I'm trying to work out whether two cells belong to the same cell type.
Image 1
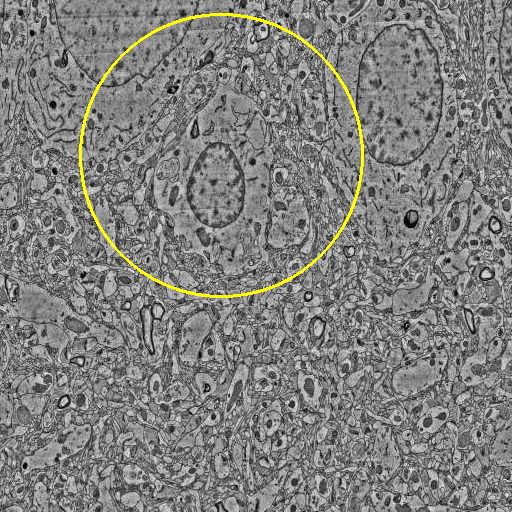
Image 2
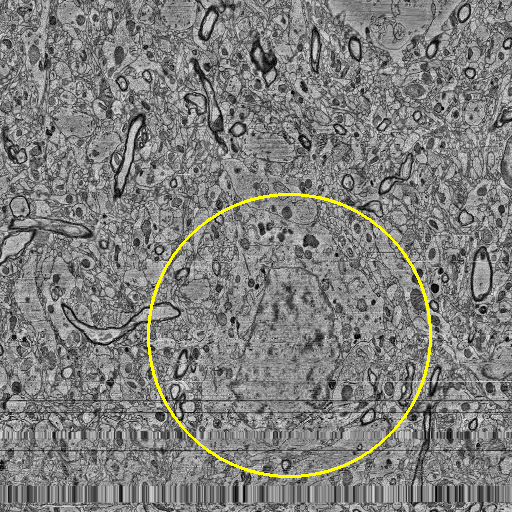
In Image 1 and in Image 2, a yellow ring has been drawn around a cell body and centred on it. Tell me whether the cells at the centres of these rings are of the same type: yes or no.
no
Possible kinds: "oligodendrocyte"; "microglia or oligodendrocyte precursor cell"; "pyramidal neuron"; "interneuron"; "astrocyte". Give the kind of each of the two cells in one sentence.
The cell in the second picture is an interneuron, and that in the first is an astrocyte.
